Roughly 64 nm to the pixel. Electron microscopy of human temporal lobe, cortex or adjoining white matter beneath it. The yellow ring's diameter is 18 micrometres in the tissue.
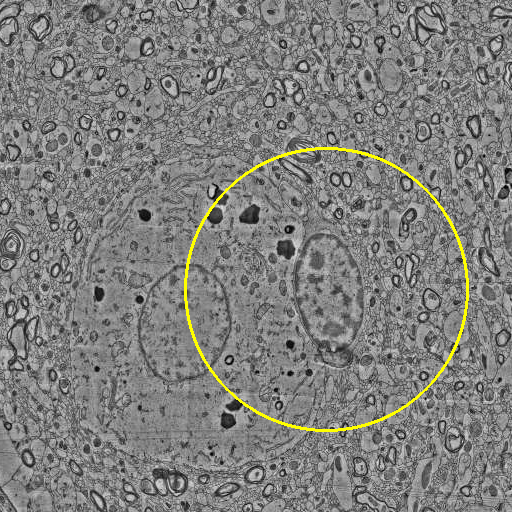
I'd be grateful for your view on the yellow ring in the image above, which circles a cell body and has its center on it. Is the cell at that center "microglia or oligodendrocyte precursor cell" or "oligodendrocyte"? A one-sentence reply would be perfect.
The cell at the center of the yellow ring is an oligodendrocyte.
